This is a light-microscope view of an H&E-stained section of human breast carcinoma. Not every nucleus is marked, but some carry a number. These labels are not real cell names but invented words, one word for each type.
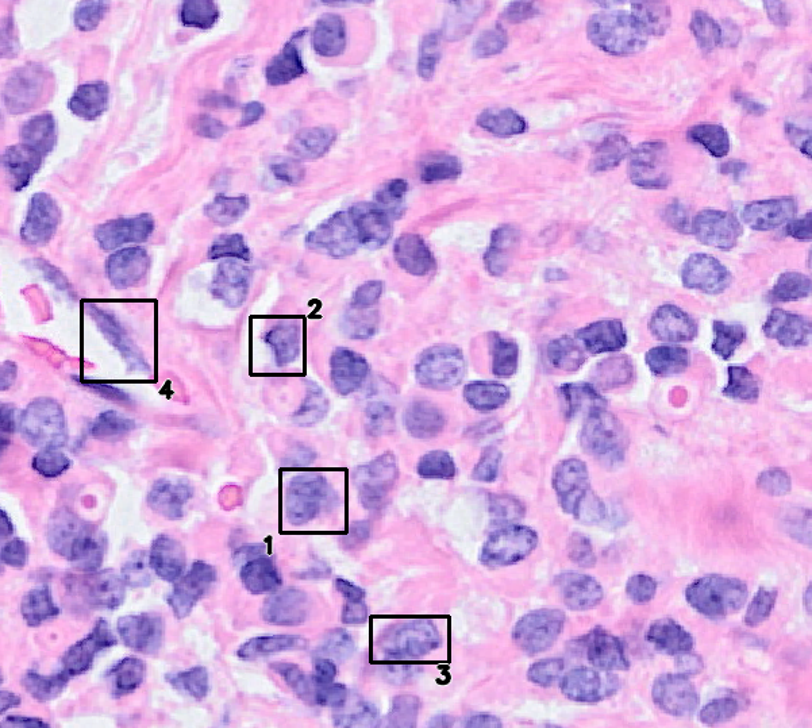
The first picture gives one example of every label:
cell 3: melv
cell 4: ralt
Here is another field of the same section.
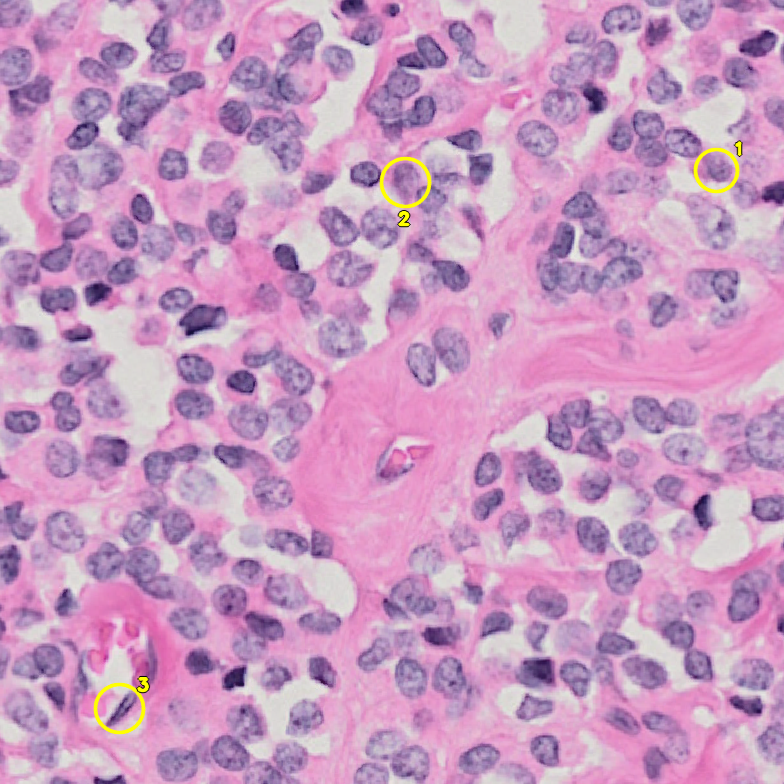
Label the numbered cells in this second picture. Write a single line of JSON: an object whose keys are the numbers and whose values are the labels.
{"1": "melv", "2": "melv", "3": "ralt"}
